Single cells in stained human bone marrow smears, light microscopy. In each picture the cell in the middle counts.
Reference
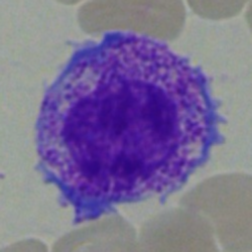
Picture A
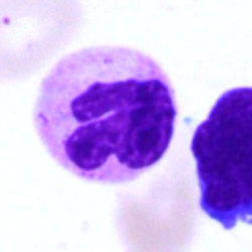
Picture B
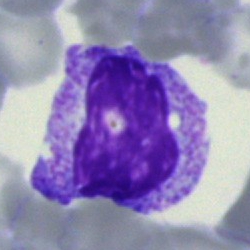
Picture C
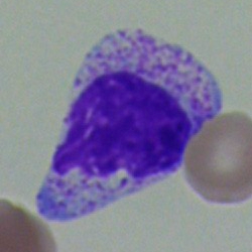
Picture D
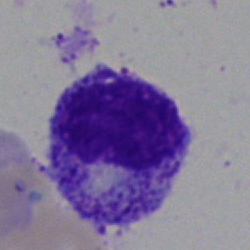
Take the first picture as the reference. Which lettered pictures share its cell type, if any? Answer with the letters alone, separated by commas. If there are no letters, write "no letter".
B, C, D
